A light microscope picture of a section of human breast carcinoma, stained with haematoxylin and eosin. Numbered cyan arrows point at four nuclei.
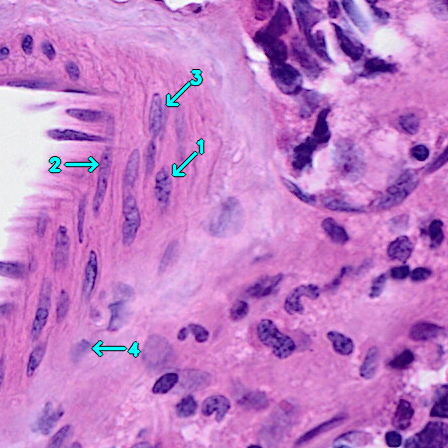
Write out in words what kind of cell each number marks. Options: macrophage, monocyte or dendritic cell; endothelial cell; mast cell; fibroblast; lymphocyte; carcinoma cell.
Cells 1, 2 and 3 are endothelial cells. Cell 4 is a fibroblast.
